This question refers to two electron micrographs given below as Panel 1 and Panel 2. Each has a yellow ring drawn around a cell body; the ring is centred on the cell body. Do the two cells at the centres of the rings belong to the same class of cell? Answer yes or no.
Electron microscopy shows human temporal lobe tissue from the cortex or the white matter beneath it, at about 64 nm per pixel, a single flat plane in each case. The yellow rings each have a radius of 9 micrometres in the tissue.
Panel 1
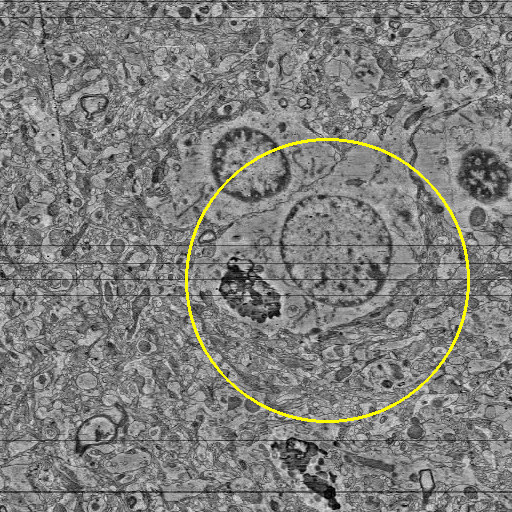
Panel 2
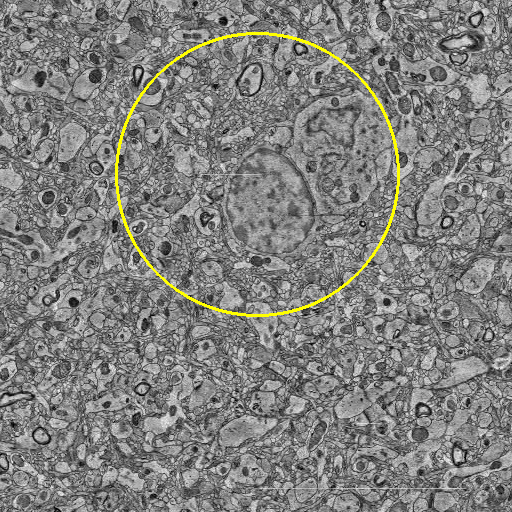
no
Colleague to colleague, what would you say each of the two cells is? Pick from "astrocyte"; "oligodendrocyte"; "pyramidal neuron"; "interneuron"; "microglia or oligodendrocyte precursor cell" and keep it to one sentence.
The cell in the first picture is an astrocyte; the second picture's cell is an oligodendrocyte.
